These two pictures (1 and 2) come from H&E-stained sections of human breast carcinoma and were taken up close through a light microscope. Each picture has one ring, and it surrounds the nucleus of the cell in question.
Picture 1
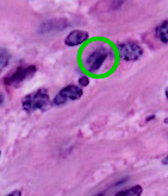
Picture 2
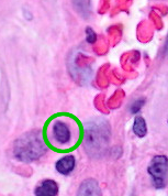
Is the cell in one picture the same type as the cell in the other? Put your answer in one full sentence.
Yes, they are the same type: both are lymphocytes.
